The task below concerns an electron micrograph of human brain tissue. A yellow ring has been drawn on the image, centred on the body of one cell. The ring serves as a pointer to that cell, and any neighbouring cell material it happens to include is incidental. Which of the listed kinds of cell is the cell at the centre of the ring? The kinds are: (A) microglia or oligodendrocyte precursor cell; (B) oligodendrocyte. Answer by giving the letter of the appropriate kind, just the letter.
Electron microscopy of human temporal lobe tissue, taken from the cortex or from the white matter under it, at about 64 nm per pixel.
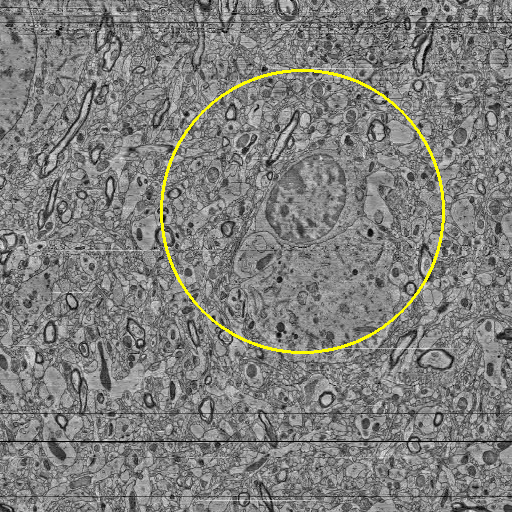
B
